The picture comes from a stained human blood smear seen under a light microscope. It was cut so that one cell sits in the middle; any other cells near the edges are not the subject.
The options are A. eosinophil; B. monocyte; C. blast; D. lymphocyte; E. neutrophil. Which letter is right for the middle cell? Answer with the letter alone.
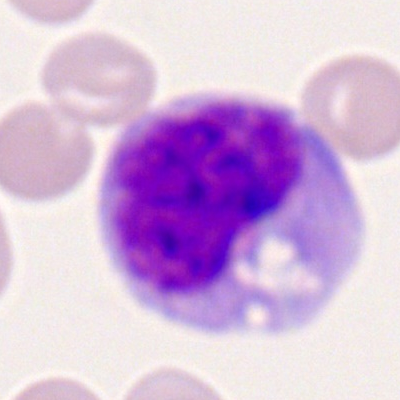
B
